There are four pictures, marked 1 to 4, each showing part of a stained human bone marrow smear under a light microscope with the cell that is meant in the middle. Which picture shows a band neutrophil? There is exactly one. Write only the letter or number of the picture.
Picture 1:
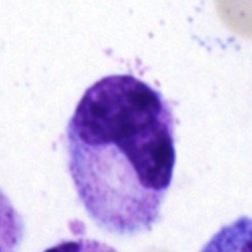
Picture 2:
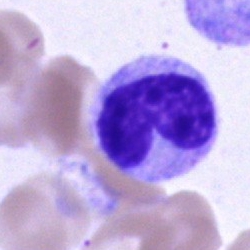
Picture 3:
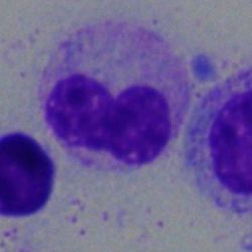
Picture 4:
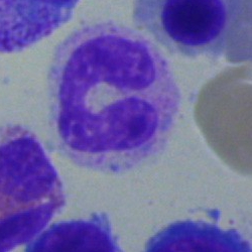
4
